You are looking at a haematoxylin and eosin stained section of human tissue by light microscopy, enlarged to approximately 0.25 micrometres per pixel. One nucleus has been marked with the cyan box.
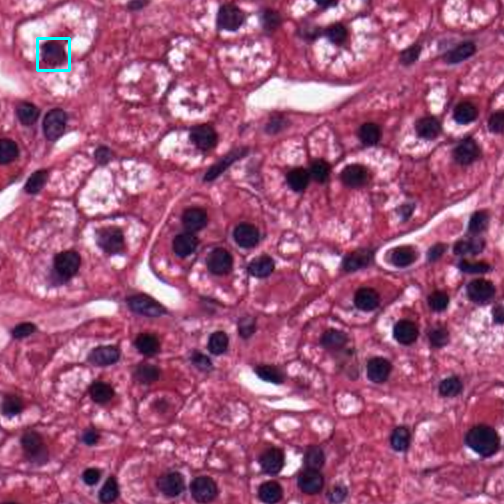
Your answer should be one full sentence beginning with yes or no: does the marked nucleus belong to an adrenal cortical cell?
Yes, the marked nucleus is a nucleus of an adrenal cortical cell.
